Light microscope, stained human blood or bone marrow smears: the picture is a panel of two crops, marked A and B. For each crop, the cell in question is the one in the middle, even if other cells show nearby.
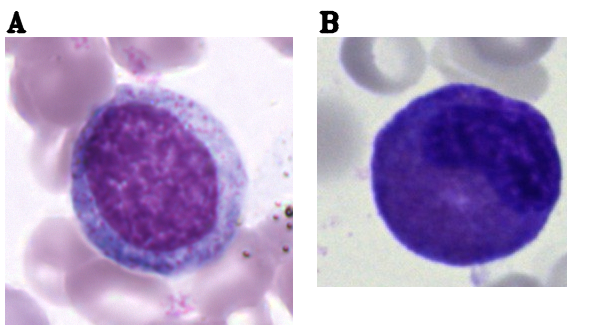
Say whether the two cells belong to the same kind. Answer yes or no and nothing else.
no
